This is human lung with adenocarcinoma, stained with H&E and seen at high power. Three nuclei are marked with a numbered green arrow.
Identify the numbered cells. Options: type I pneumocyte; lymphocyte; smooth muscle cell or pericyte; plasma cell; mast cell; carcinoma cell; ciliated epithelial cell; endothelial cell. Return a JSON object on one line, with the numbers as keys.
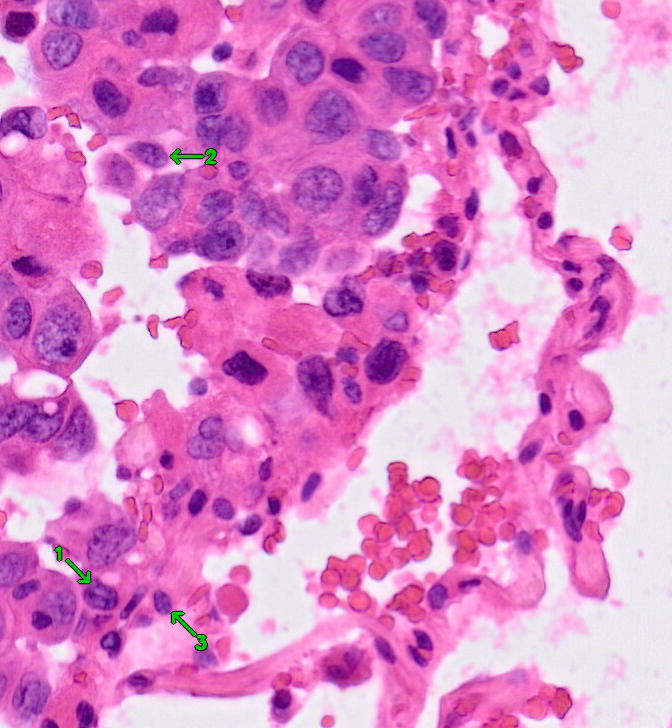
{"1": "carcinoma cell", "2": "carcinoma cell", "3": "mast cell"}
